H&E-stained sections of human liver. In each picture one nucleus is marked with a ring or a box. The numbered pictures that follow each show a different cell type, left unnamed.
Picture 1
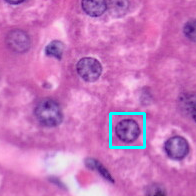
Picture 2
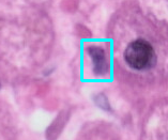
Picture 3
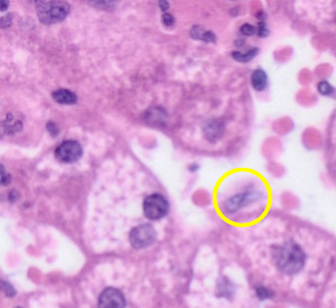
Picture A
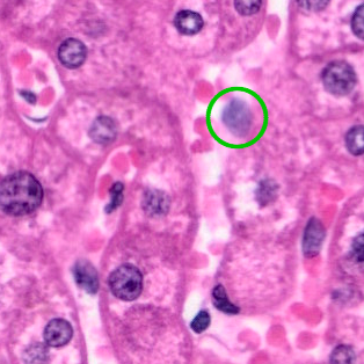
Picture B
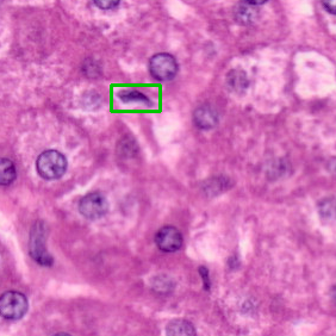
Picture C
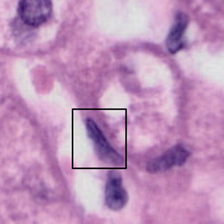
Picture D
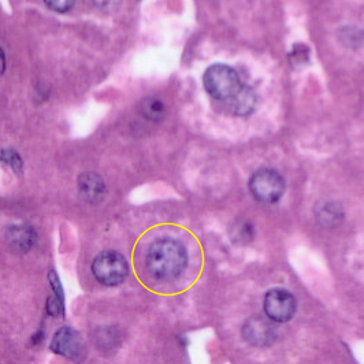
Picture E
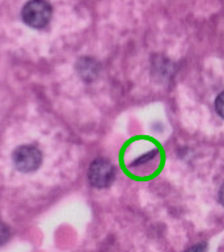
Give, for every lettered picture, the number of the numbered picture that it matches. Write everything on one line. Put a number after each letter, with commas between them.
A 2, B 2, C 3, D 1, E 2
